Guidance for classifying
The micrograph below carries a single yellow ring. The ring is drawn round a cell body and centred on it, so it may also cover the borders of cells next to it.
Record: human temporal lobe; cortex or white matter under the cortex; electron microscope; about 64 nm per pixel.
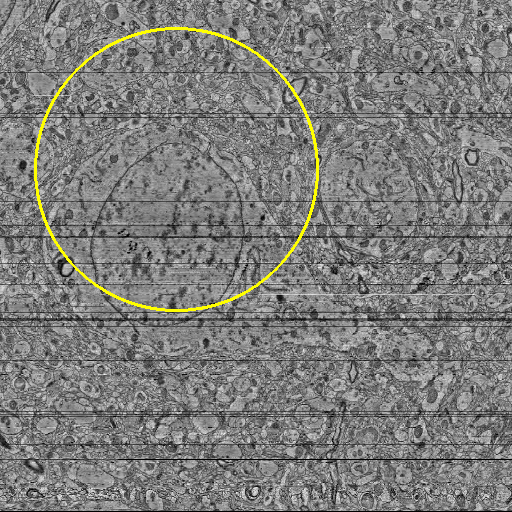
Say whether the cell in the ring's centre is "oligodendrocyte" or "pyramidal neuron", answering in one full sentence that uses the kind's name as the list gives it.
Within the yellow ring, a pyramidal neuron is the cell whose body sits at the centre.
